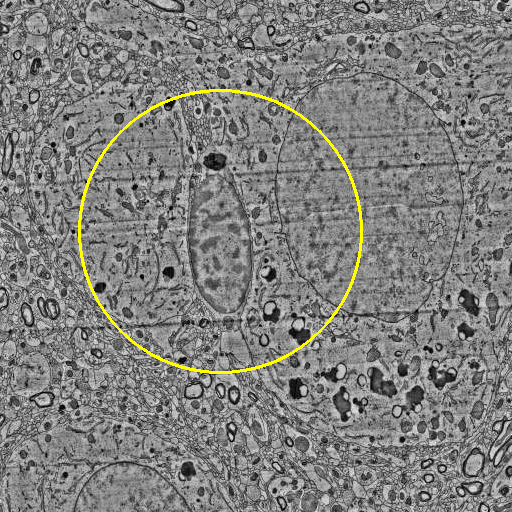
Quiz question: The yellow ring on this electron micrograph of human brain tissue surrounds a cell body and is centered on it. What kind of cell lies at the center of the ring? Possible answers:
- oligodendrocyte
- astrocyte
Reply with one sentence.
The ring's center lies on an oligodendrocyte.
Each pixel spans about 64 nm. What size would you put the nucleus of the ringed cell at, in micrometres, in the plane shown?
About 9 by 4 micrometres in this plane; clearly longer than it is wide.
